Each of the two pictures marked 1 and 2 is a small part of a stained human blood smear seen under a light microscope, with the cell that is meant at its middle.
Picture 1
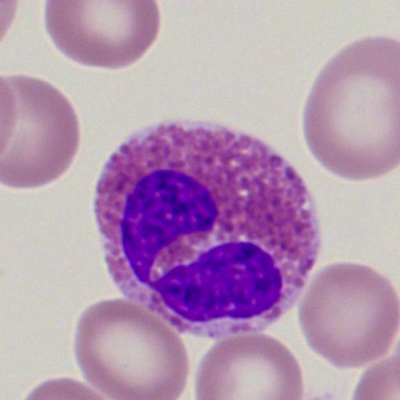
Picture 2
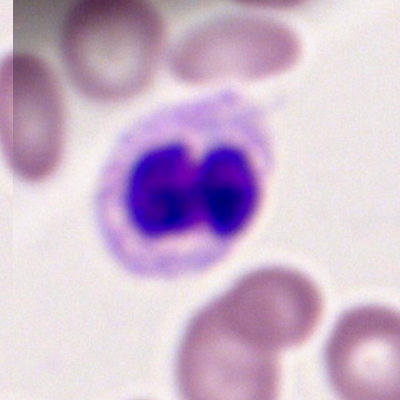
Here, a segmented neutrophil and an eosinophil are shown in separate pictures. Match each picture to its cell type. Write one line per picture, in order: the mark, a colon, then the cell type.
1: eosinophil
2: segmented neutrophil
